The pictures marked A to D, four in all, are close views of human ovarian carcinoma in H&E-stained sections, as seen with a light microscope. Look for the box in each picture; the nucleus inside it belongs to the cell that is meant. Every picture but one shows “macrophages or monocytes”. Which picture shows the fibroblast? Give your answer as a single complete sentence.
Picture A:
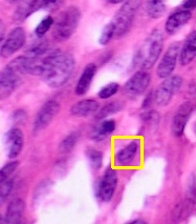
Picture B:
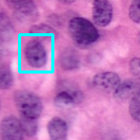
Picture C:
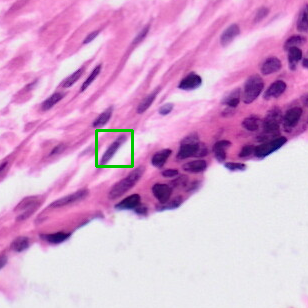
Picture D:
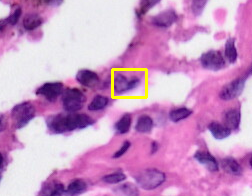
The fibroblast is the one in picture C.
